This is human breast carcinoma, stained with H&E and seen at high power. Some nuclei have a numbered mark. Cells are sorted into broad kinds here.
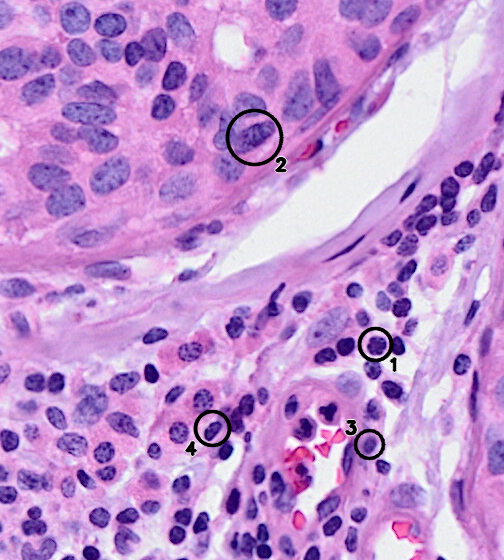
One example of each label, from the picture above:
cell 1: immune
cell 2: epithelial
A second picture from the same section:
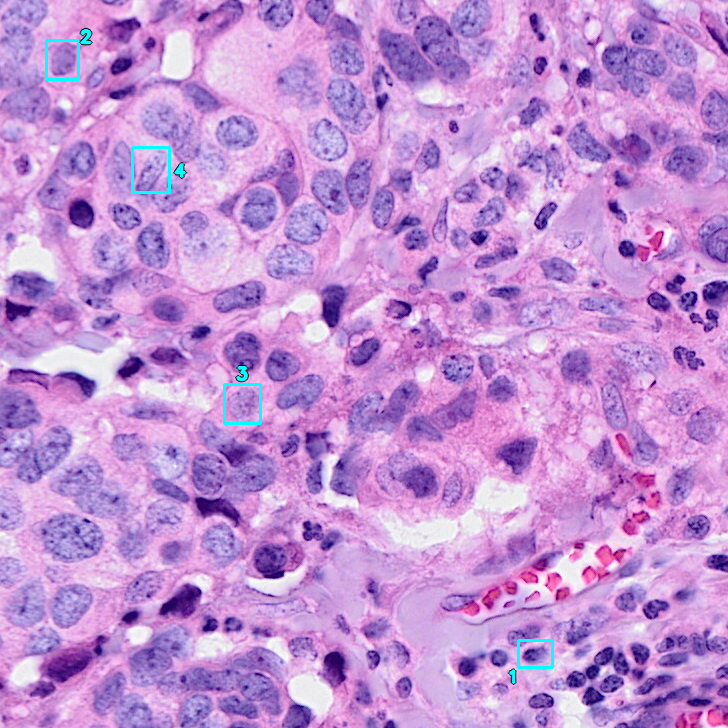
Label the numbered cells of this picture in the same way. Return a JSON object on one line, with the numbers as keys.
{"1": "immune", "2": "epithelial", "3": "epithelial", "4": "epithelial"}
